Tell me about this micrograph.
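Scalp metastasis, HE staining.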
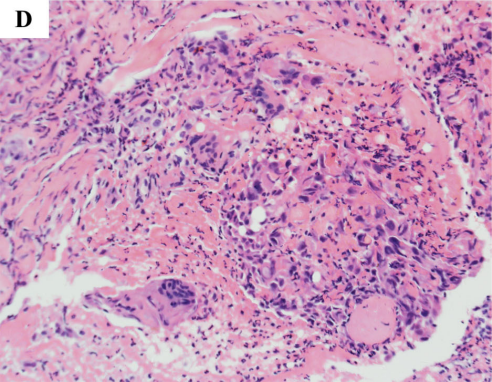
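A crowded cluster of cells sits within pink fibrous stroma, the cells having enlarged, irregular, darkly stained nuclei and relatively little cytoplasm. A large cell with several clustered nuclei lies at the lower edge of the cluster, and small clear round spaces are scattered through it. These are atypical lesion cells with a raised nucleus-to-cytoplasm ratio and irregular nuclei.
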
